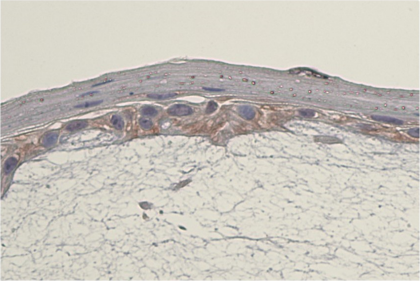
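A thin stratified epidermis-like layer sits on a pale, loose, finely fibrous matrix. Its lowest rows hold cuboidal cells with oval blue nuclei and brown-stained cytoplasm, while the flattened layers above are grey-blue and unstained. The brown-stained cells thus line the basal layer of the epidermis-like structure.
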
